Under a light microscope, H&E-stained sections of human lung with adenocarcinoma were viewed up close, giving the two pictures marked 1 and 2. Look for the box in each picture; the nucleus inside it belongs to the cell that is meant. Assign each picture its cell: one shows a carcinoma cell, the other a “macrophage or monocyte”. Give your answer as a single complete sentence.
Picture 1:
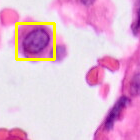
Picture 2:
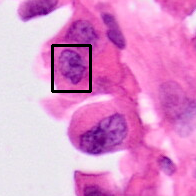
Picture 2 shows a carcinoma cell, while picture 1 shows a “macrophage or monocyte”.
